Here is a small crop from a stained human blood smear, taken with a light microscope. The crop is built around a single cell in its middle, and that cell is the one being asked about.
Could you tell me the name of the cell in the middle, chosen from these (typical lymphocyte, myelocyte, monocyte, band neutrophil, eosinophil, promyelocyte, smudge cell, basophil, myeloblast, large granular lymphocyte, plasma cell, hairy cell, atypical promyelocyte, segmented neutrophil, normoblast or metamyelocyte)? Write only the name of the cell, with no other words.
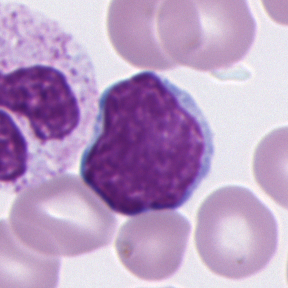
typical lymphocyte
